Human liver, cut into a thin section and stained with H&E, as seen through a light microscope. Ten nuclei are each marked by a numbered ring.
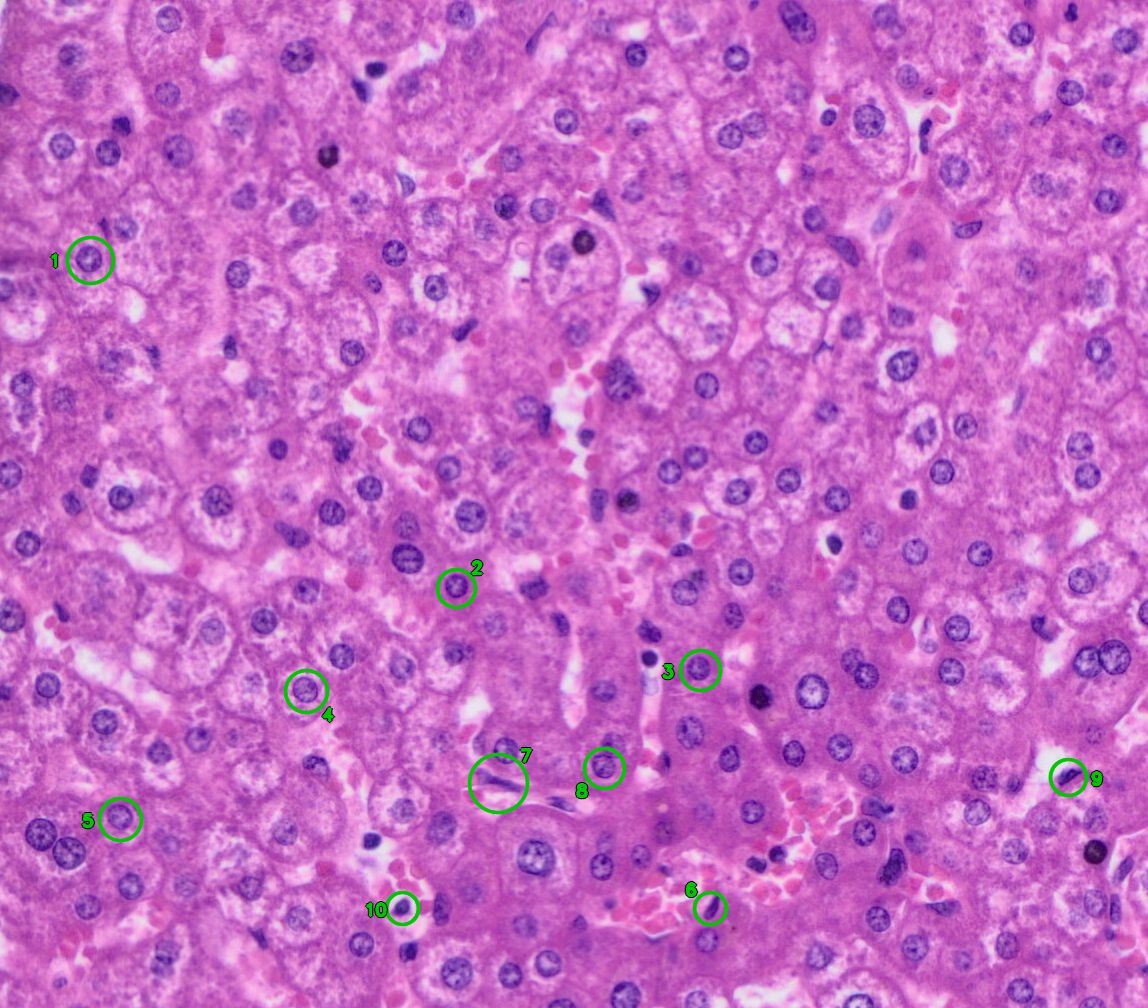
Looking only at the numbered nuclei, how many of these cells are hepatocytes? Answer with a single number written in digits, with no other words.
6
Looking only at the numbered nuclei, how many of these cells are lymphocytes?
1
